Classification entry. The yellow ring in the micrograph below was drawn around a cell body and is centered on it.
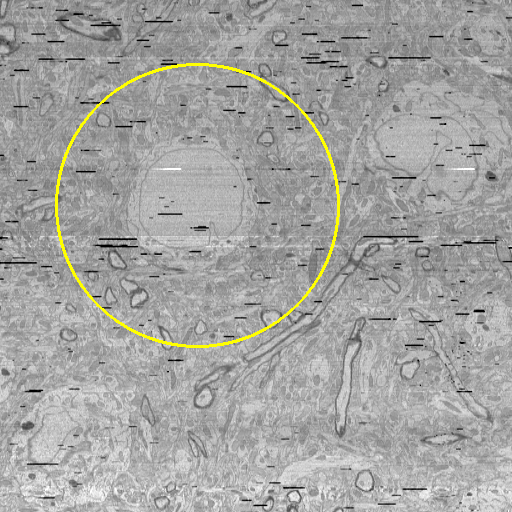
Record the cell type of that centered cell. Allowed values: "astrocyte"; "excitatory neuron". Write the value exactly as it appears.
excitatory neuron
